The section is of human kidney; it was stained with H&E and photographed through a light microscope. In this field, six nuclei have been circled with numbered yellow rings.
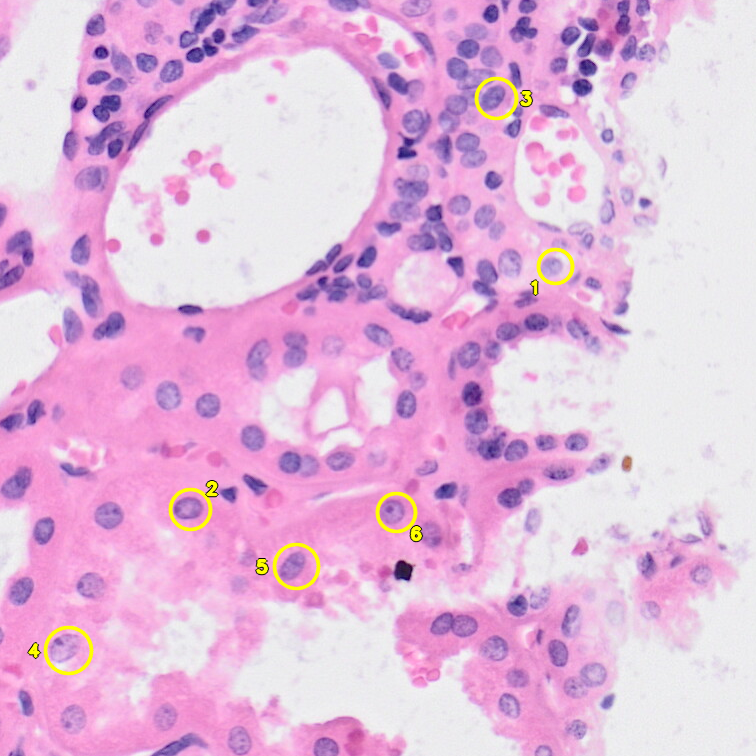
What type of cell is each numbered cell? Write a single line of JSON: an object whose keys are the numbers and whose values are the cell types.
{"1": "collecting duct cell", "2": "proximal tubule cell", "3": "collecting duct cell", "4": "proximal tubule cell", "5": "proximal tubule cell", "6": "proximal tubule cell"}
